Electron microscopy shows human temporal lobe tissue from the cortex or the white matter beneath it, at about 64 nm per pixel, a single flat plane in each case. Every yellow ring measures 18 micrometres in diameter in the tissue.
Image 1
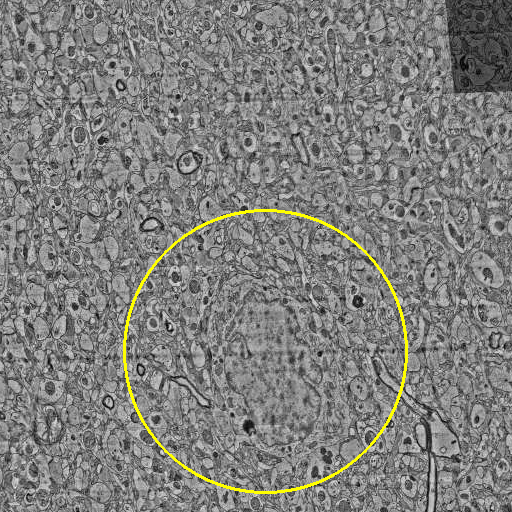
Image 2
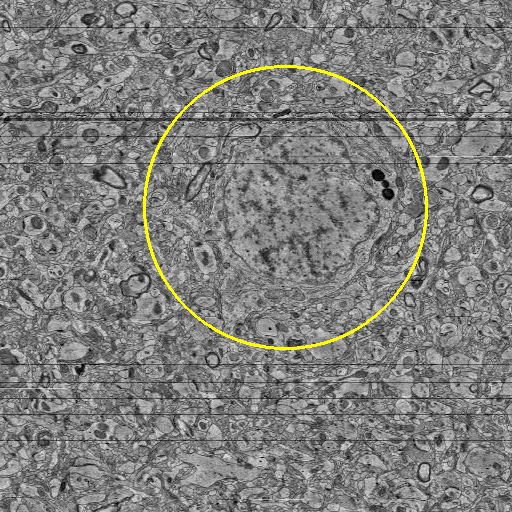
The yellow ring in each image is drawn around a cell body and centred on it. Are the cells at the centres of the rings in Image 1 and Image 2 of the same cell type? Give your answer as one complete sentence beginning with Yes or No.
Yes, both cells are of the same type.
